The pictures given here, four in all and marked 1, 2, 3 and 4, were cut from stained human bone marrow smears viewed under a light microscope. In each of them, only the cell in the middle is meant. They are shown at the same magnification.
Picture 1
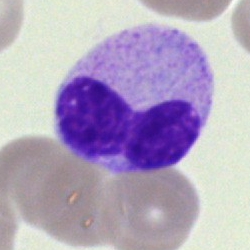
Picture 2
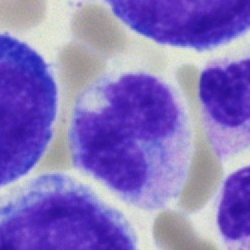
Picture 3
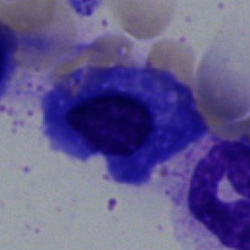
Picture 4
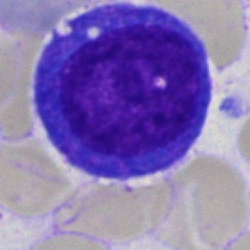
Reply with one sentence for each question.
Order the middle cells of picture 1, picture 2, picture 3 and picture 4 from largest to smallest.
Largest first: 4, 1, 3, 2.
